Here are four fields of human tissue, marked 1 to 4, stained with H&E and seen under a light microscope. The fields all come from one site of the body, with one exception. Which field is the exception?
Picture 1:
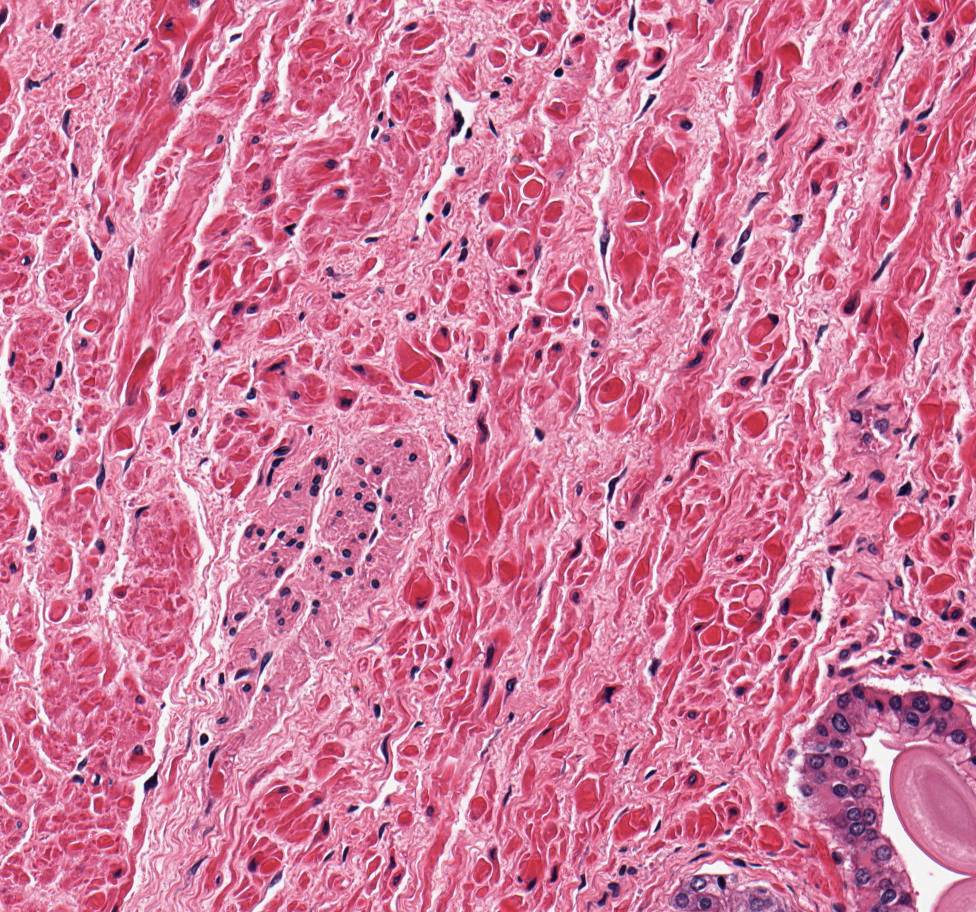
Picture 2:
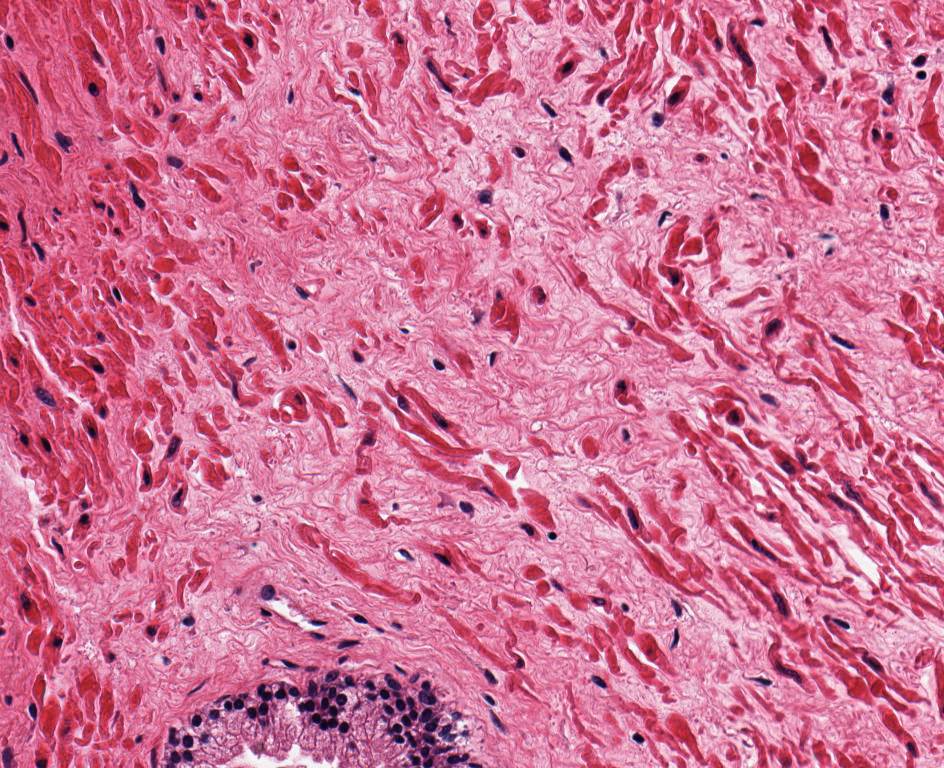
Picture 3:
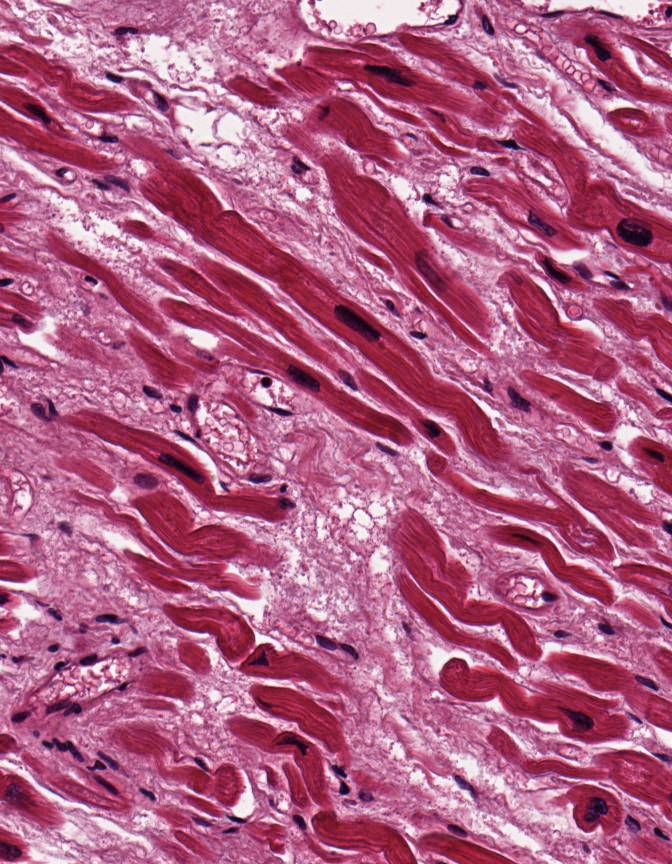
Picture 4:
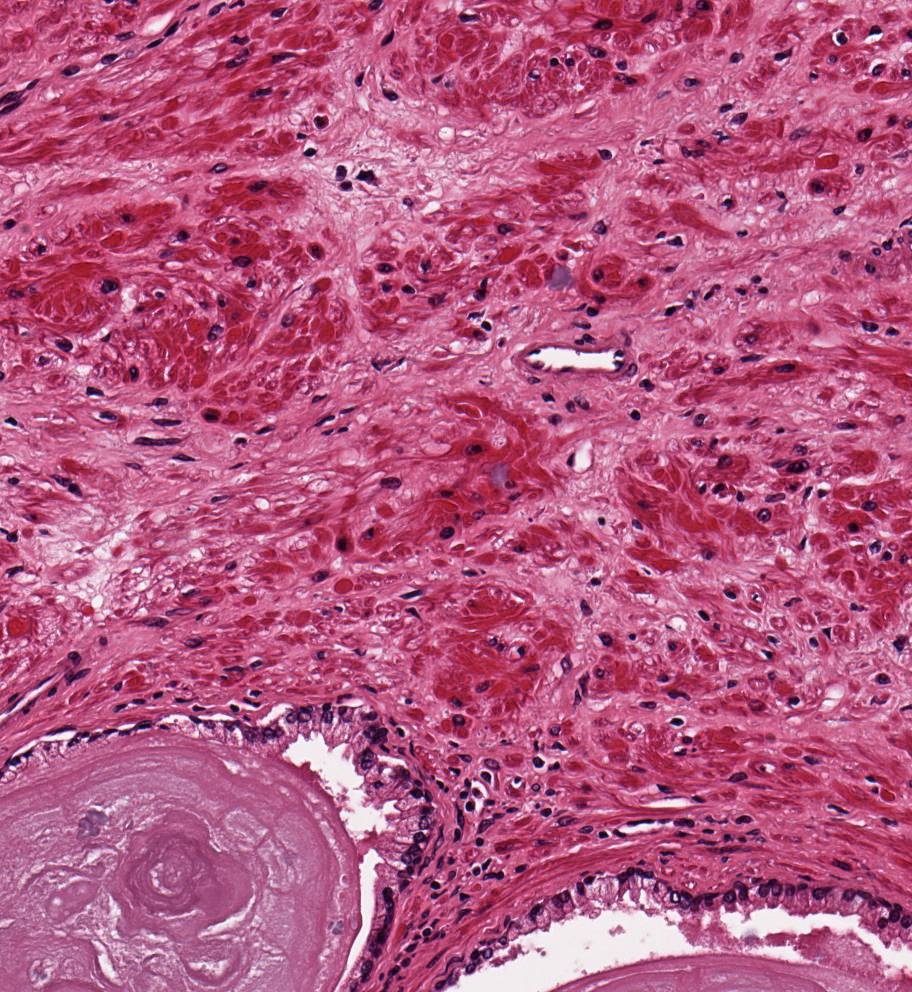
3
